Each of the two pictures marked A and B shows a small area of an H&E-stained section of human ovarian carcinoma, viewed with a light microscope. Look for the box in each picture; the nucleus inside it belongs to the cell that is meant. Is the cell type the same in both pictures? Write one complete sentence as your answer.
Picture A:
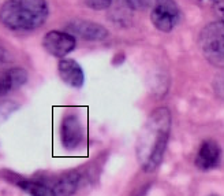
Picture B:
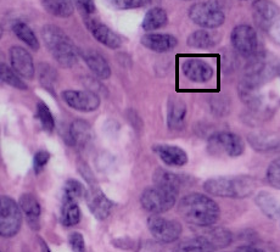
No, picture A shows a carcinoma cell and picture B shows a “macrophage or monocyte”.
